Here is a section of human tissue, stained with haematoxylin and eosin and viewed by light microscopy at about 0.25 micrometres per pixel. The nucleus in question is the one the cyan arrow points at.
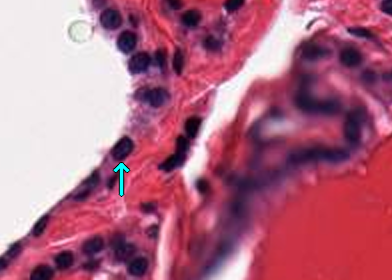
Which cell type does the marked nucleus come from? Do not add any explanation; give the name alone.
thyroid follicular cell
